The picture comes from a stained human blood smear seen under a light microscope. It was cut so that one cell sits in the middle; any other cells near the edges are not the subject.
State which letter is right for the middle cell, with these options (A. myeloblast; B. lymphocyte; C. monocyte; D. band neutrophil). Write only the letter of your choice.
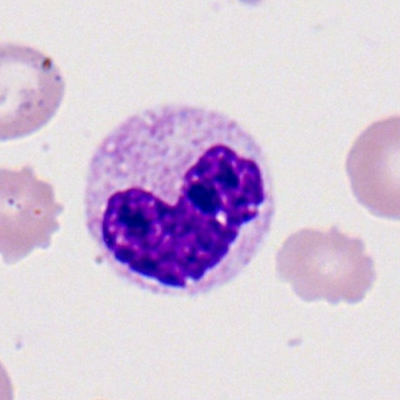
D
